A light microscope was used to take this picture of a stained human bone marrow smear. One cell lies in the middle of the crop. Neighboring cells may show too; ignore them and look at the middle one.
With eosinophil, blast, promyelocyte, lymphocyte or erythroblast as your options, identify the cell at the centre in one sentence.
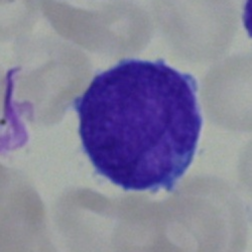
The centrally positioned cell in the crop represents a blast.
